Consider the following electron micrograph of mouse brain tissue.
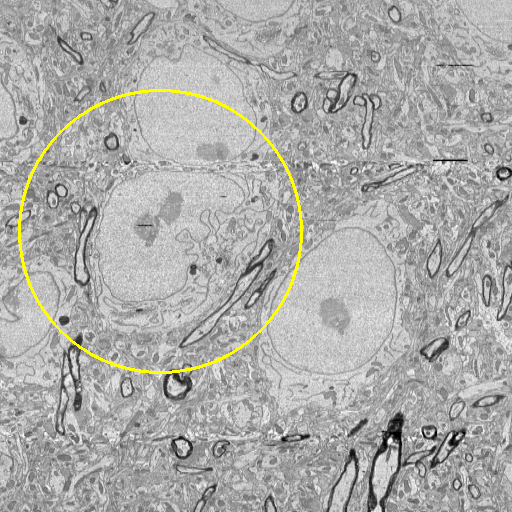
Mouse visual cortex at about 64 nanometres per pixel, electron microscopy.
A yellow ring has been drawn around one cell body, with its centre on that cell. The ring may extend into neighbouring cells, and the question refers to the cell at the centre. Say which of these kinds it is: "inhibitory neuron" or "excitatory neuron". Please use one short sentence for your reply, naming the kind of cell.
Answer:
The centre of the ring falls on an inhibitory neuron.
